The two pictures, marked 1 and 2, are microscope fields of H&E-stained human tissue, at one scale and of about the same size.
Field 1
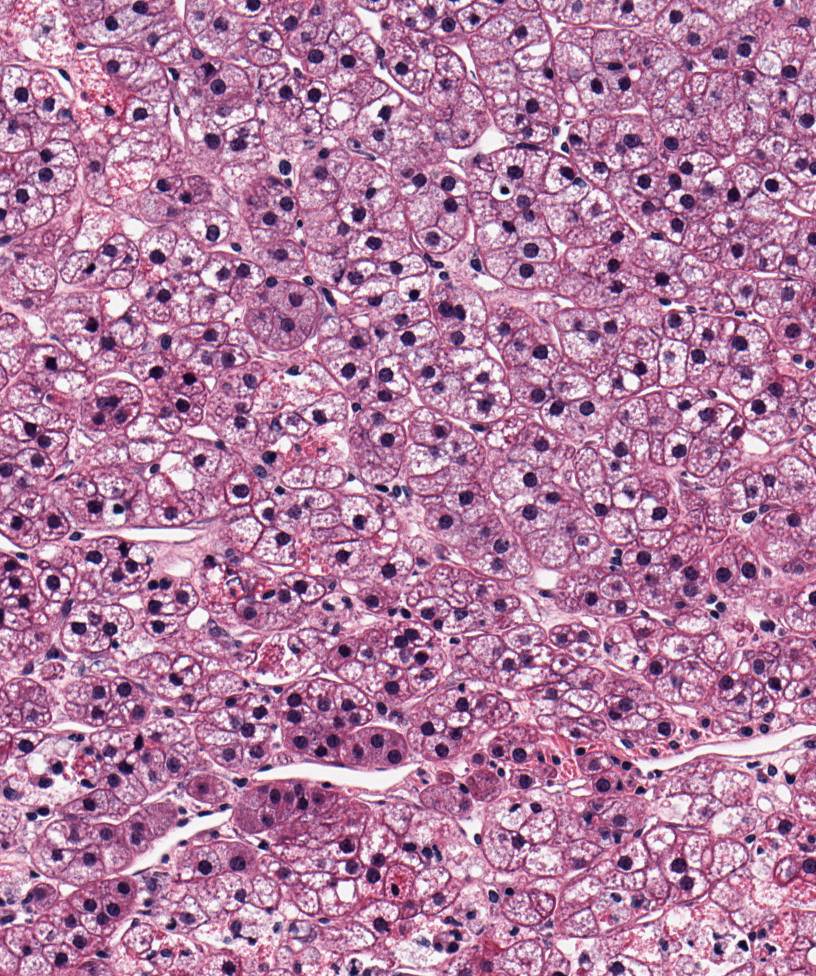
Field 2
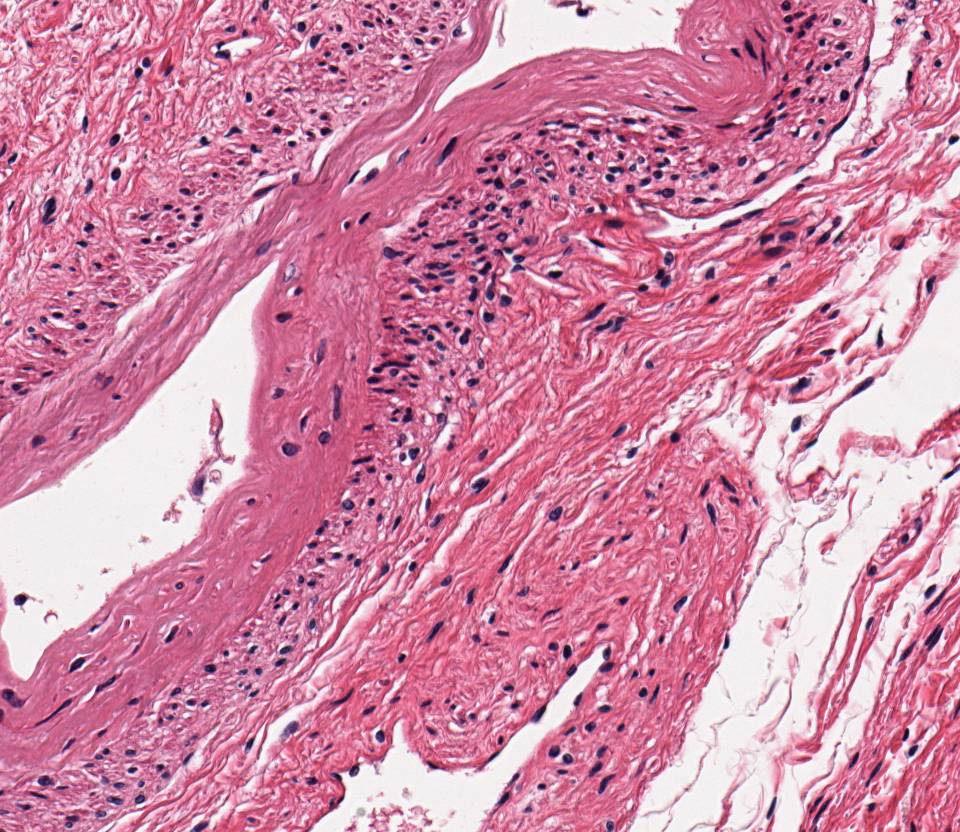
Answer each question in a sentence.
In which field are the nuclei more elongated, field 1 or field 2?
On the whole the nuclei of field 2 are more drawn out than those of field 1.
